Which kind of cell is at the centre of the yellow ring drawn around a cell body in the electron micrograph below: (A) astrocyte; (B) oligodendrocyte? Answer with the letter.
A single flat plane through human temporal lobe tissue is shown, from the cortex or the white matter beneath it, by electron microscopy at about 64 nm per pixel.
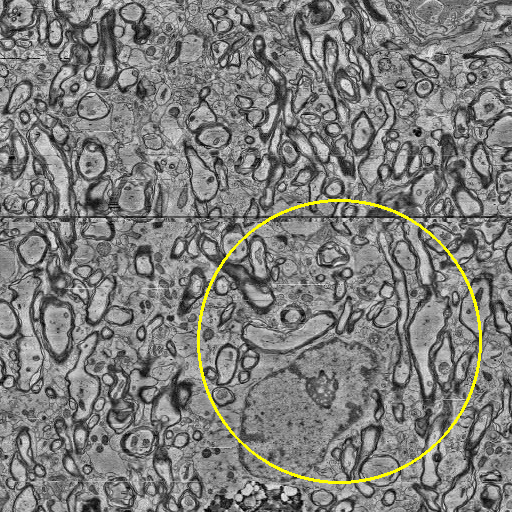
A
